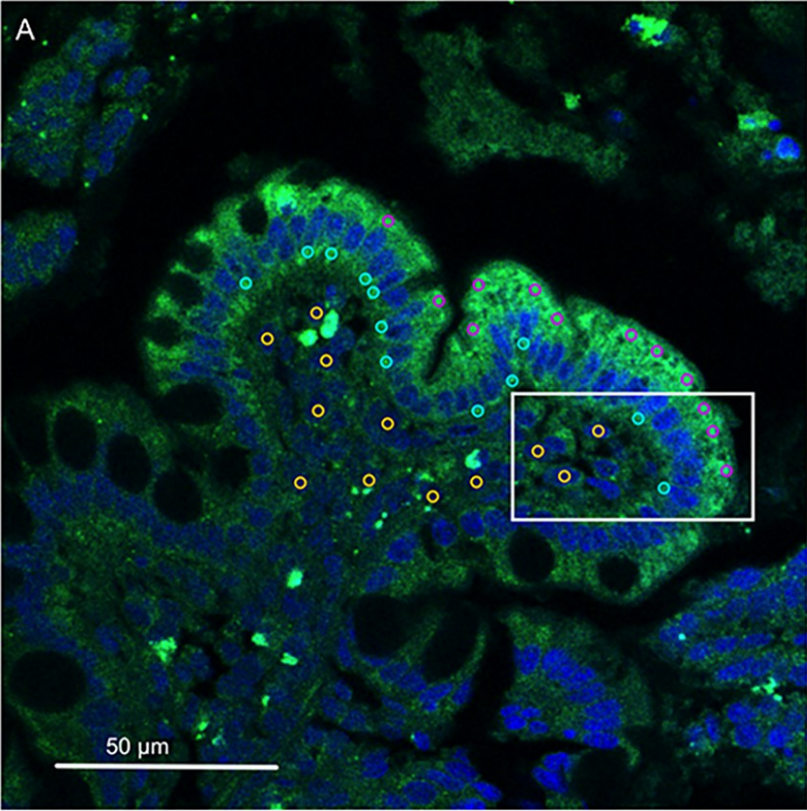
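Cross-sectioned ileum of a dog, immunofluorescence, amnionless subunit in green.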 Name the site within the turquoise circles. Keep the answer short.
Basolateral part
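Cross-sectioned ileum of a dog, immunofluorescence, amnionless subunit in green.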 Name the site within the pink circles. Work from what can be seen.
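Apical. The pink circles lie in the epithelial layer between the row of nuclei and the free surface. The green staining is brightest in this outer band of the epithelium.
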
